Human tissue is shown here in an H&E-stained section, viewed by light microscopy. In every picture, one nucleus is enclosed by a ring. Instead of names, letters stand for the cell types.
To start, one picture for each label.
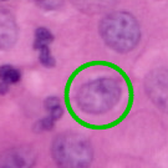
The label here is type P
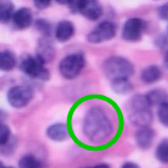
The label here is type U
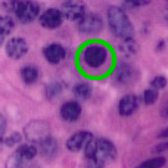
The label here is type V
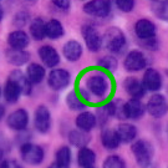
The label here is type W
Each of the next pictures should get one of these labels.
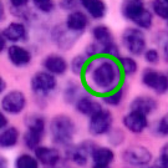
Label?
type W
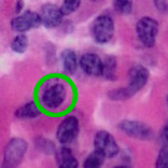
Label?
type V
